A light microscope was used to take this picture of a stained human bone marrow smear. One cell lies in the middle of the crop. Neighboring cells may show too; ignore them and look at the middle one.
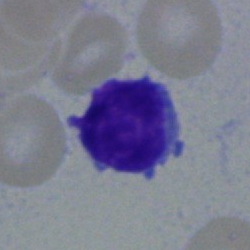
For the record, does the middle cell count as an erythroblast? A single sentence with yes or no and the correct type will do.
No, the centrally located cell is a lymphocyte rather than an erythroblast.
